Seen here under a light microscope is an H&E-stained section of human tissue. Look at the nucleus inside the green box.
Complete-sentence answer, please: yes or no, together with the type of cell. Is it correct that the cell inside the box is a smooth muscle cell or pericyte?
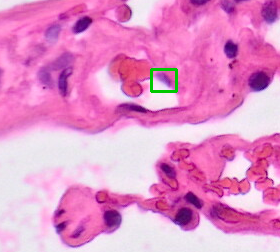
No, in this tissue section, the cell inside the box is not a smooth muscle cell or pericyte but an endothelial cell.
